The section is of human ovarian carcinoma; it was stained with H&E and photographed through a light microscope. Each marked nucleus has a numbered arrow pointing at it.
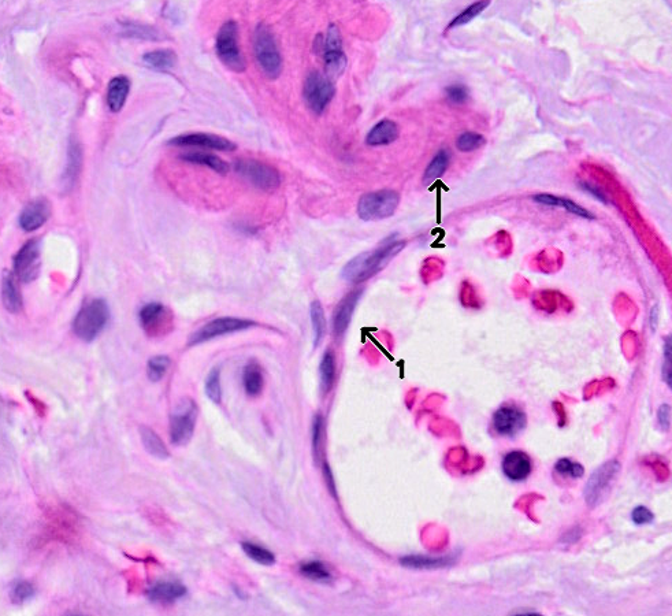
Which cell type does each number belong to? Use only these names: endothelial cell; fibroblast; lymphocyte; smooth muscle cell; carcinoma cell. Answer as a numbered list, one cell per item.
1. endothelial cell
2. smooth muscle cell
